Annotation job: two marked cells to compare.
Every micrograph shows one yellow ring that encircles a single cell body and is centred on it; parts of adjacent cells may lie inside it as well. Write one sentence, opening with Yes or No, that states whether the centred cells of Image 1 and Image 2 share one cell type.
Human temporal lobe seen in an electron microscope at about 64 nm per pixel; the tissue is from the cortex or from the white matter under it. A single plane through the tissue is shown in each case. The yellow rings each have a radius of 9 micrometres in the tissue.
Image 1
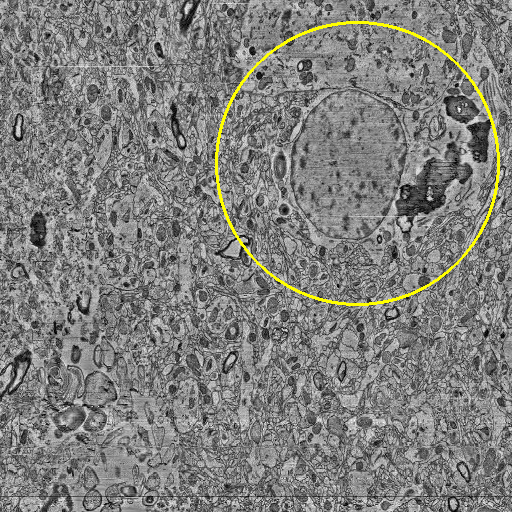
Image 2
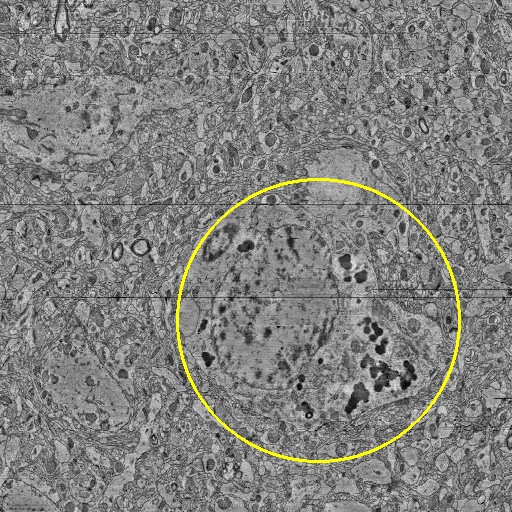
No, the cell centred in Image 1 and the cell centred in Image 2 are of two types.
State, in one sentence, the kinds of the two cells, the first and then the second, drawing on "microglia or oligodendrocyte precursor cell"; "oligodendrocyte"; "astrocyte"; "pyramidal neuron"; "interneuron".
The ring in the second picture is centred on an interneuron, the ring in the first on an astrocyte.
